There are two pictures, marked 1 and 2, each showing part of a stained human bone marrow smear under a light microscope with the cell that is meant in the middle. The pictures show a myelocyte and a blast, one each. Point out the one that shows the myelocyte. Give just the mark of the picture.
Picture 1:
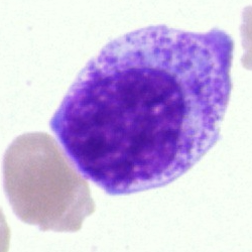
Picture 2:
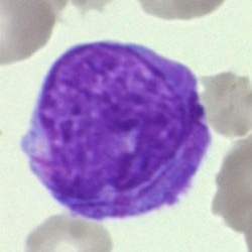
1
